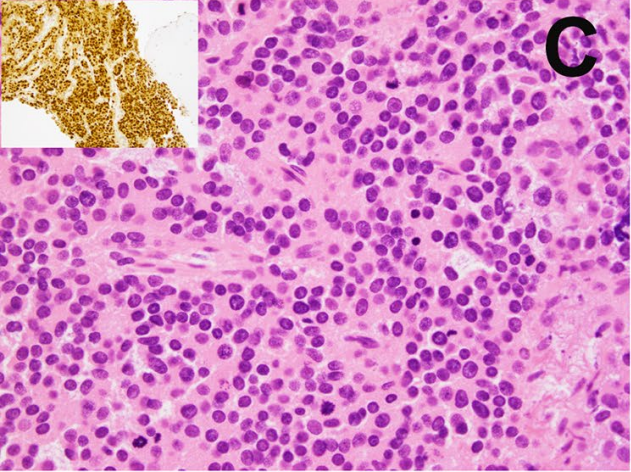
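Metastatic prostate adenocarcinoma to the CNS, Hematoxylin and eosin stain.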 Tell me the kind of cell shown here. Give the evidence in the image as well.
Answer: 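Sheets of cells with round, dark purple nuclei.
Hence: round blue cells.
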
